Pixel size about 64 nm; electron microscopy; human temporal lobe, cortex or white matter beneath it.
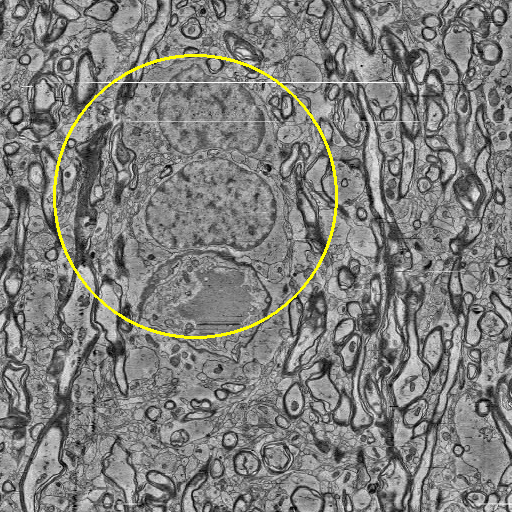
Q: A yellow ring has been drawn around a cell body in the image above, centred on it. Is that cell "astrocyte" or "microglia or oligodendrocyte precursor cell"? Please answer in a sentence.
The ring surrounds the cell body of a microglial cell or oligodendrocyte precursor cell.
